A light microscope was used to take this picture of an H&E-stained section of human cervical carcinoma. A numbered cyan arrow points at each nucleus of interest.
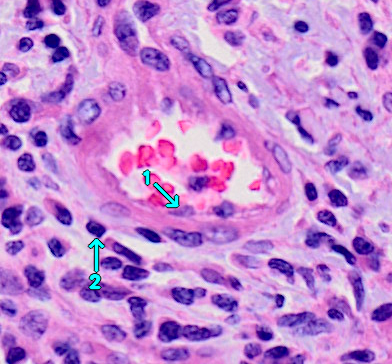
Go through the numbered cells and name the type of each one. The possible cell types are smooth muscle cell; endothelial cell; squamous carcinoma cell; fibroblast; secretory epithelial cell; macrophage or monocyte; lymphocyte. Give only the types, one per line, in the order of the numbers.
endothelial cell
lymphocyte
